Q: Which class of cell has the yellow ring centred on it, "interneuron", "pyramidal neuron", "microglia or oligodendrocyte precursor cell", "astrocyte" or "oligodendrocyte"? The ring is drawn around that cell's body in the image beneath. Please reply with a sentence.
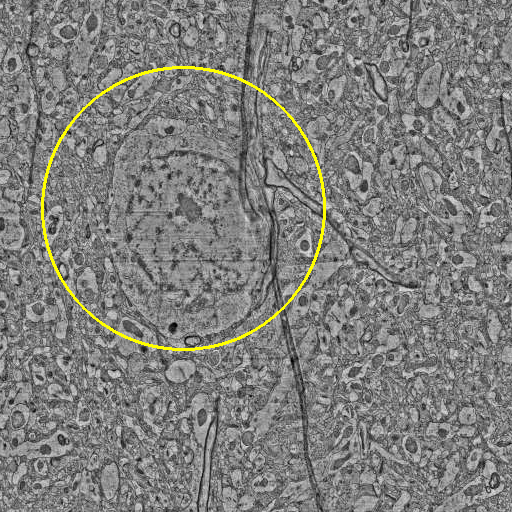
It is centred on an interneuron.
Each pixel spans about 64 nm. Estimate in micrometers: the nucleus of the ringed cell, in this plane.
The nucleus works out at approximately 10 by 8 micrometres in this plane.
